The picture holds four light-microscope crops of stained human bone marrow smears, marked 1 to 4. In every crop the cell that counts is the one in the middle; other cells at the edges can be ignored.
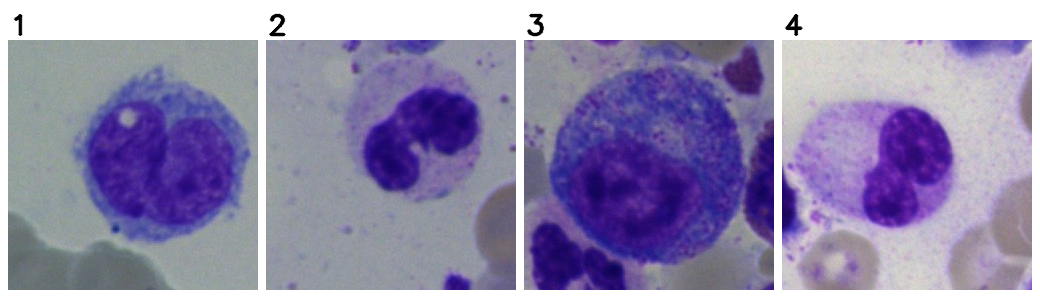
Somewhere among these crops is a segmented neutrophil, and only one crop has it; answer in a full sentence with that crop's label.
Of the labeled crops, the one with a segmented neutrophil is crop 4.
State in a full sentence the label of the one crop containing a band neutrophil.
Crop 2 alone, of all the crops, shows a band neutrophil.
